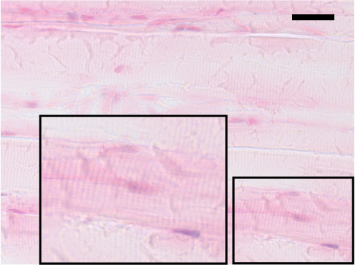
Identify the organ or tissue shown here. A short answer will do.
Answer: Skeletal muscle.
